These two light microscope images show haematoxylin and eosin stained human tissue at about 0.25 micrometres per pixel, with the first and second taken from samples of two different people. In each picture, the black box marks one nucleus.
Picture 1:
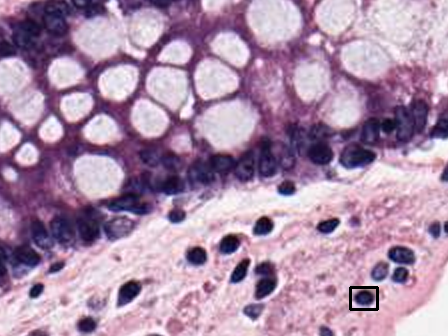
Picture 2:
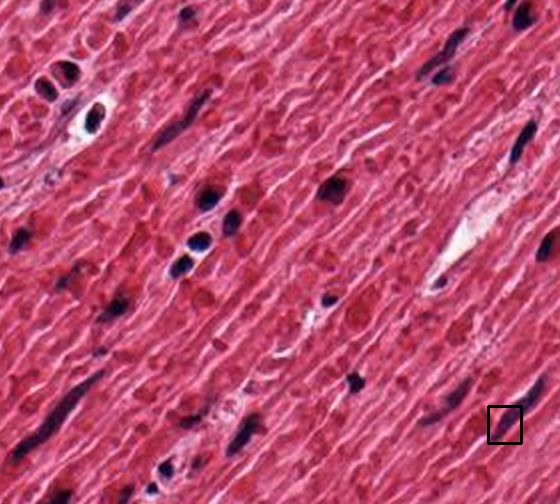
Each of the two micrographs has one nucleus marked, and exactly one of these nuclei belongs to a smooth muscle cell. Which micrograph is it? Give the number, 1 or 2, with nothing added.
2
